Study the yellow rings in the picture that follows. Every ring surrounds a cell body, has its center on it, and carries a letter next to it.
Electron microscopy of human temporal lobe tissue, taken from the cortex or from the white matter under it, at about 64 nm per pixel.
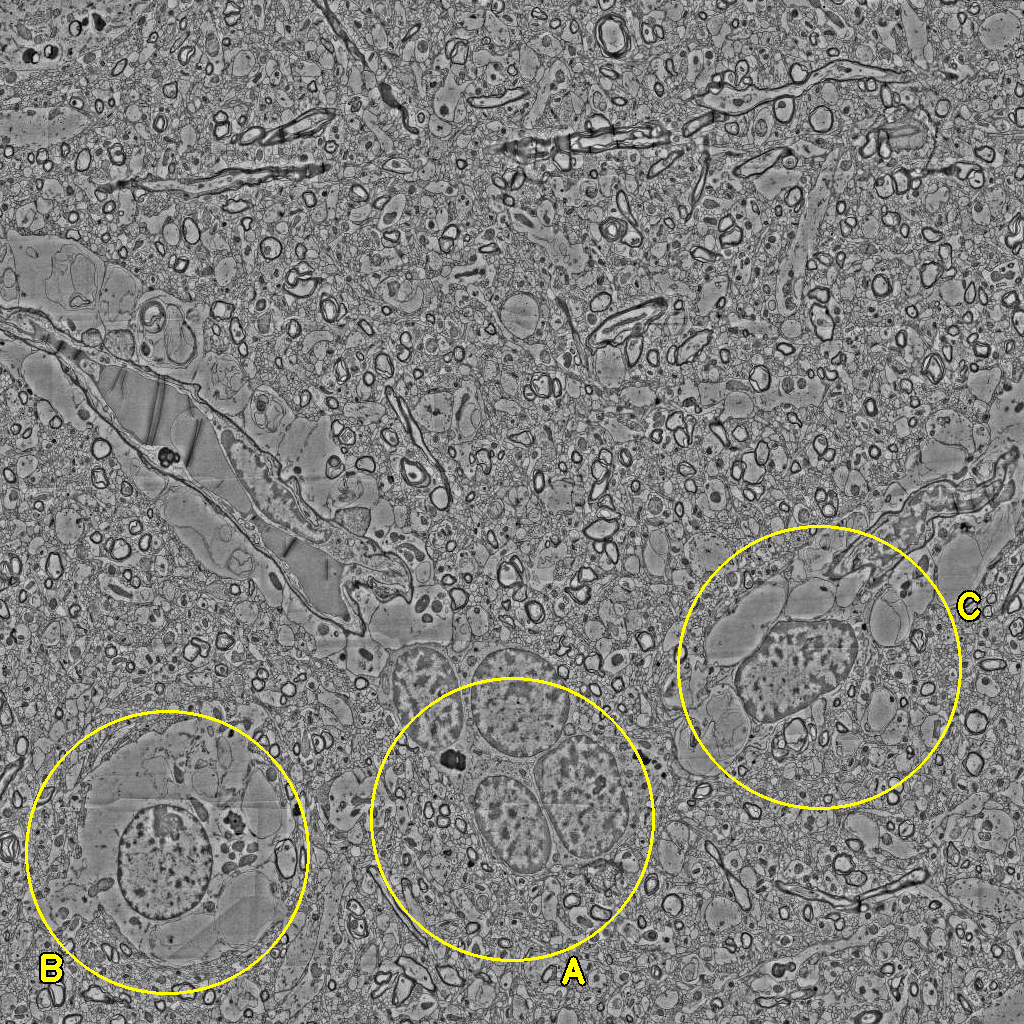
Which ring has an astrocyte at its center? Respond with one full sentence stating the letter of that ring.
The ring centered on the cell asked for carries the letter B.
